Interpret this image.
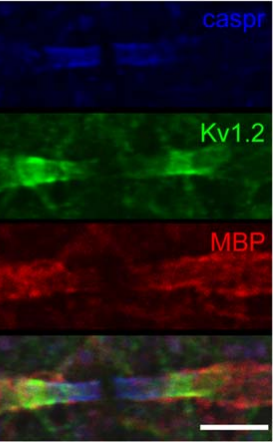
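A single myelinated axon runs horizontally, its red sheath broken by a short gap in the middle. Right beside the gap lie two short blue segments, and beyond each of these a brighter green band at the ends of the sheath, so the pattern is mirrored on both sides. This is a node of Ranvier with the paranodes flanking it and the juxtaparanodes further out beneath the myelin.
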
